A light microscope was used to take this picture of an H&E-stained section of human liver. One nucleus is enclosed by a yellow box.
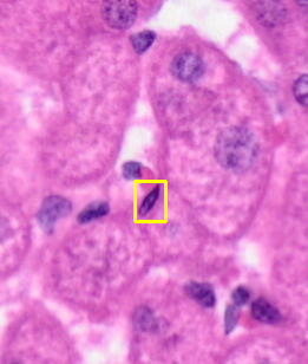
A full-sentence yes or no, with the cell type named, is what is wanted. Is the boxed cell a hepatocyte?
No, on this one the boxed cell is a fibroblast or stellate cell, not a hepatocyte.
